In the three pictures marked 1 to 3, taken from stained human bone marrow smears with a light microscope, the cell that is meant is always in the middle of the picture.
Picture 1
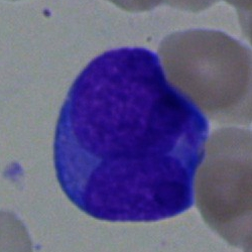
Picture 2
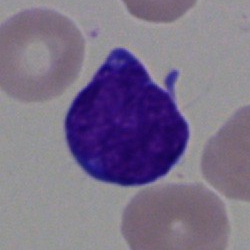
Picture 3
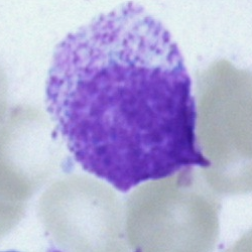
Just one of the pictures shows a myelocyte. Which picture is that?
3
